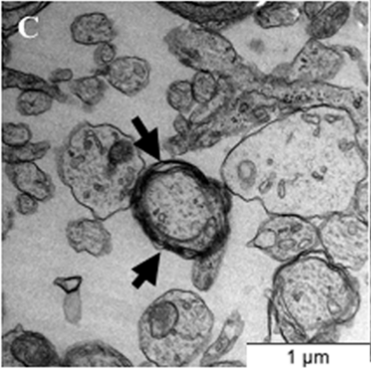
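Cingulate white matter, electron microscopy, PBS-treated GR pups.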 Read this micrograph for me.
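One central axon is wrapped by a loose, layered myelin sheath whose lamellae are separated rather than compacted into a single dense band. Other axon profiles contain fine filaments and occasional small mitochondria.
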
